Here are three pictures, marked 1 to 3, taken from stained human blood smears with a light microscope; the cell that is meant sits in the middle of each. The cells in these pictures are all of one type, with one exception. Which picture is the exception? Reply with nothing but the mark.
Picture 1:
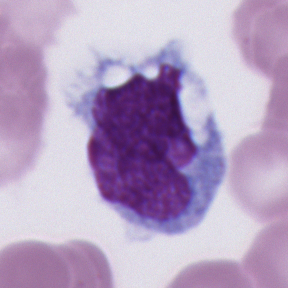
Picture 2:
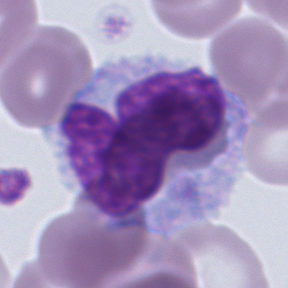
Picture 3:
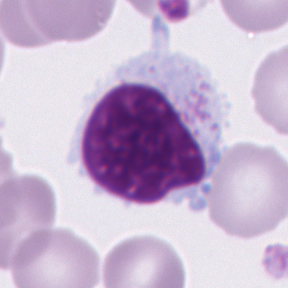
3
